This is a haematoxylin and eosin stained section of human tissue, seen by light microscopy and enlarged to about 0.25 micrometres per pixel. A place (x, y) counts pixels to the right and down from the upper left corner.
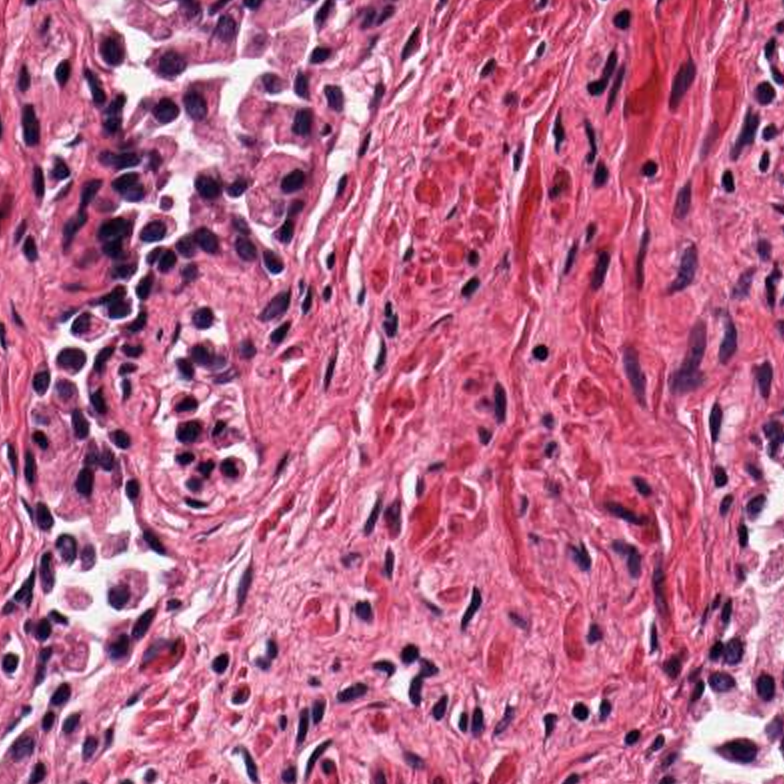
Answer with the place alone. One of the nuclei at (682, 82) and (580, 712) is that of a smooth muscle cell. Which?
(682, 82)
